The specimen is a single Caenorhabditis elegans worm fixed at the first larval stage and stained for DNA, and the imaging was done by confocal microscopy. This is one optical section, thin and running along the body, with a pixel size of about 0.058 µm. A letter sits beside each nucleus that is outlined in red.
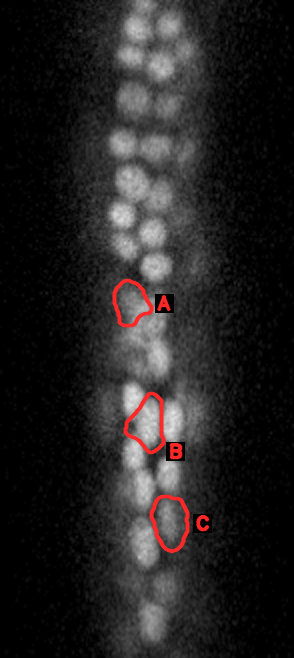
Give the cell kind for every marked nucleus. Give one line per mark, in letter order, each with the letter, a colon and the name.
A: neuron
B: neuron
C: arcade cell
